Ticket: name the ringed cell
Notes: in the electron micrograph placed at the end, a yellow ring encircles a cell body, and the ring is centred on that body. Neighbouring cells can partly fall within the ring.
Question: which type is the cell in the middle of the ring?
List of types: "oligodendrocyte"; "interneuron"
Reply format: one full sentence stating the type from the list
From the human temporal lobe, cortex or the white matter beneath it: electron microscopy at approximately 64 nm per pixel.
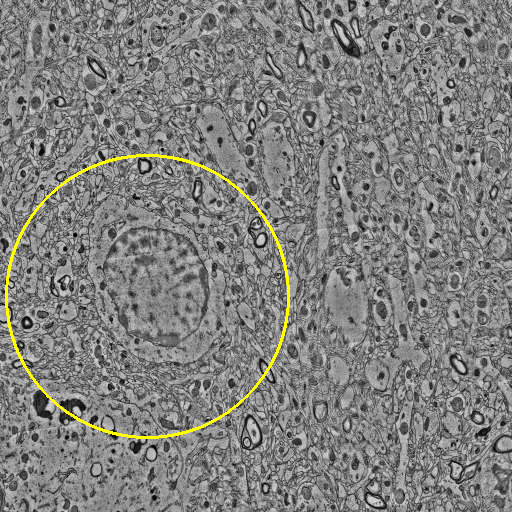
The cell sitting at the centre of the yellow ring is an interneuron.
